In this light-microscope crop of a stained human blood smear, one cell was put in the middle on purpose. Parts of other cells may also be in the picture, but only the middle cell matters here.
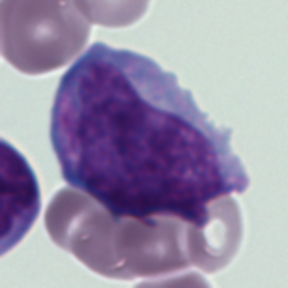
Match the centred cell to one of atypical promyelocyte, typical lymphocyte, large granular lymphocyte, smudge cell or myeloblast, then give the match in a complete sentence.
In the middle of this smear crop is an atypical promyelocyte.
